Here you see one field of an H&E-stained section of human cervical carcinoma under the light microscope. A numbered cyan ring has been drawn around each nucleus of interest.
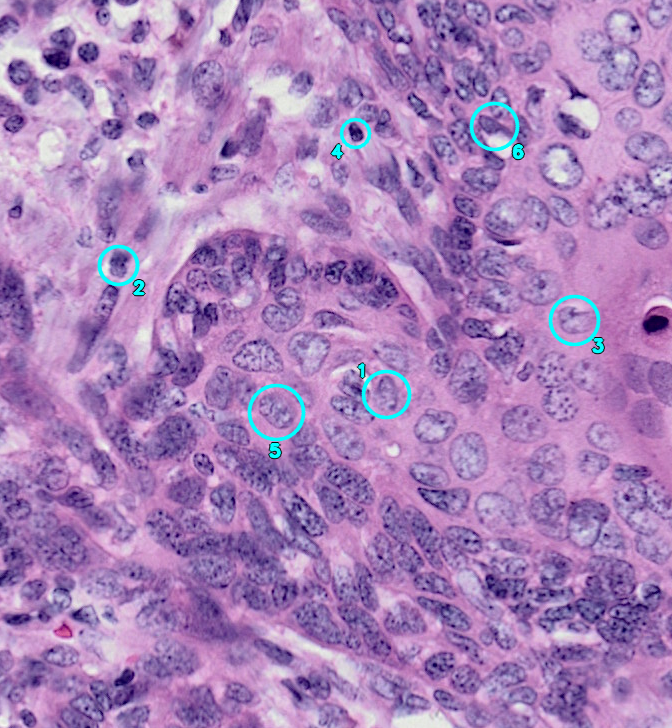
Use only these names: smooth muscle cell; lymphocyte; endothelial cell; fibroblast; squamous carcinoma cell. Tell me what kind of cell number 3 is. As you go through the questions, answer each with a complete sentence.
The expected answer is that cell 3 is a squamous carcinoma cell.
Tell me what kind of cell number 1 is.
Heads up, the cell numbered 1 is a squamous carcinoma cell.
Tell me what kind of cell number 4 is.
The mark numbered 4 indicates the nucleus of a lymphocyte.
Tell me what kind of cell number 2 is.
Marked with the number 2, this cell is a lymphocyte.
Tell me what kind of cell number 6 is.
Numbered cell 6 is a squamous carcinoma cell in this tissue section.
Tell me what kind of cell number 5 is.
In this section, the cell tagged 5 is a squamous carcinoma cell.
